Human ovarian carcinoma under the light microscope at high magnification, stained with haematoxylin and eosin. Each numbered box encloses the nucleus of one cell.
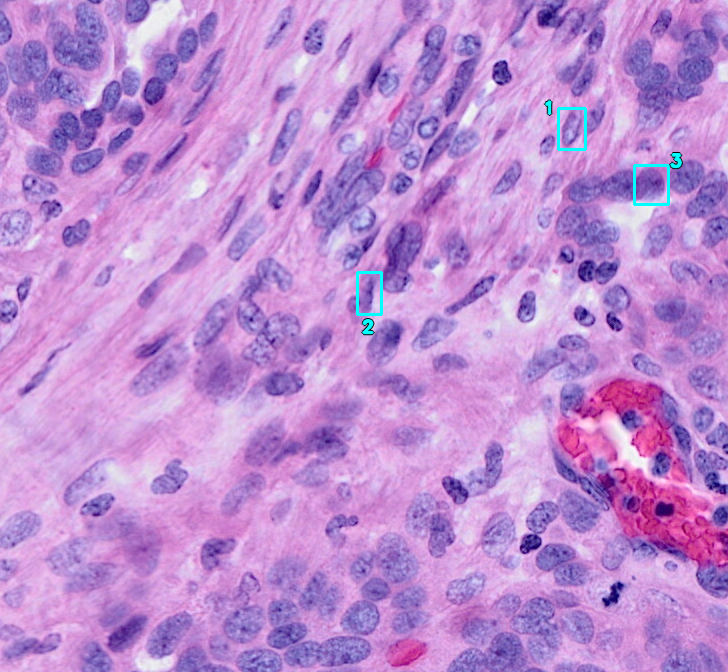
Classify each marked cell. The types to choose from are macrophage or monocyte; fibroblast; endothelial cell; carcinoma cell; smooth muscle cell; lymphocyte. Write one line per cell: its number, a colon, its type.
1: fibroblast
2: fibroblast
3: carcinoma cell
